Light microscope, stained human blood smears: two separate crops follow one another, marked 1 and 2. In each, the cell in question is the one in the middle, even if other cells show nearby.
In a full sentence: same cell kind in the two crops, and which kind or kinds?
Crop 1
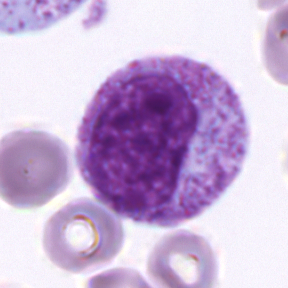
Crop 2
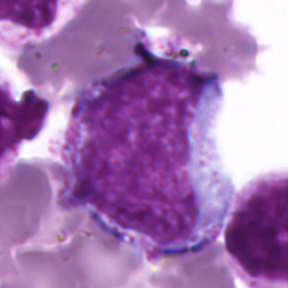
No, crop 1 is to be identified as a myelocyte and crop 2 as a promyelocyte.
